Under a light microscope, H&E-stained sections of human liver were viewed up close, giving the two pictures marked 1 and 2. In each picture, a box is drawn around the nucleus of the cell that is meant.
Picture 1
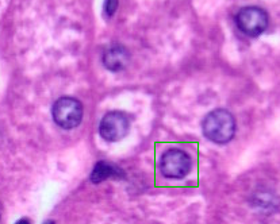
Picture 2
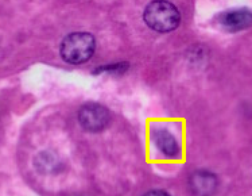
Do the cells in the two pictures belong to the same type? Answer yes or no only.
no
